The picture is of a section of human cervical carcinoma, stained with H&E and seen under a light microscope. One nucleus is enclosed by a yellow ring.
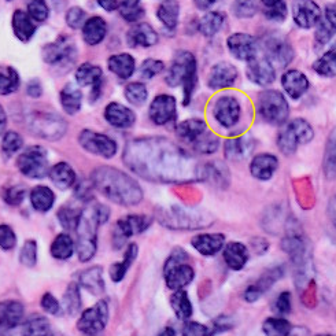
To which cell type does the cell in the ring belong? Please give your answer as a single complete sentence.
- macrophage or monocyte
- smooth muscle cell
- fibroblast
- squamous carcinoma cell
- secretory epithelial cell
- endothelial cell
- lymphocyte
In this field of tissue, the cell in the ring is a lymphocyte.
